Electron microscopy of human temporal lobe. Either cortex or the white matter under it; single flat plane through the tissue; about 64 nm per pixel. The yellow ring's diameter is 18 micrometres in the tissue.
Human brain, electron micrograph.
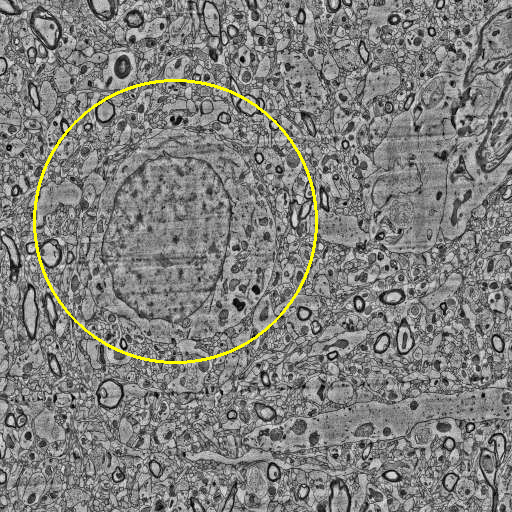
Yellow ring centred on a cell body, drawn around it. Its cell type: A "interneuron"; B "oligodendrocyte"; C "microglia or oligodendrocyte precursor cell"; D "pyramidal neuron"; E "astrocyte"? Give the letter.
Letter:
A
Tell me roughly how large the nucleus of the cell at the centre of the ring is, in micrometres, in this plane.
The nucleus of the ringed cell is approximately 11 by 8 micrometres in this plane.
